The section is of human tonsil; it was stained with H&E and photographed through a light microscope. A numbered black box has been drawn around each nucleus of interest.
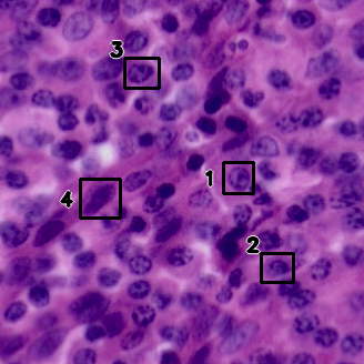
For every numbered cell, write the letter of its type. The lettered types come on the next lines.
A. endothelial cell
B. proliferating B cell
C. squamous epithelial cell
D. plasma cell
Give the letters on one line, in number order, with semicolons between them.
D; D; D; C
